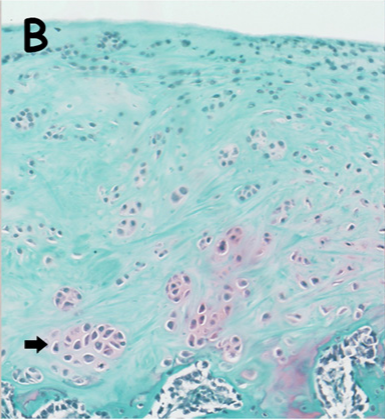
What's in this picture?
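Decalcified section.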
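This section shows a joint surface in which the tissue has become disorganised and fibrous, with groups of rounded cartilage cells scattered through it. Near the surface the tissue is pale blue-green with many small elongated nuclei, more like fibrous tissue than smooth cartilage. Deeper down, rounded cells lie gathered in tight groups of several cells, each group sitting in a patch of pink-tinged matrix. At the bottom edge, spaces filled with densely packed small cells, likely marrow, border the tissue.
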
